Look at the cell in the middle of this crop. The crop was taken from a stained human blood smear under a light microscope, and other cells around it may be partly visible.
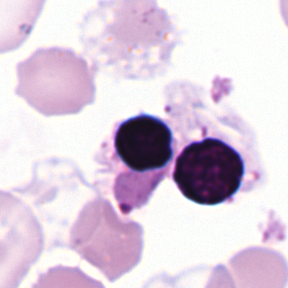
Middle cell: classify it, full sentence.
At the middle of the frame sits a normoblast.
